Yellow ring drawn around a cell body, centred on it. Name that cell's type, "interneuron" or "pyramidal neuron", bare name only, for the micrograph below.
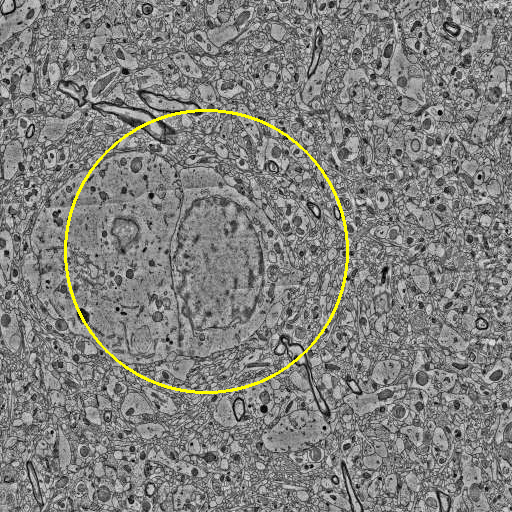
interneuron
